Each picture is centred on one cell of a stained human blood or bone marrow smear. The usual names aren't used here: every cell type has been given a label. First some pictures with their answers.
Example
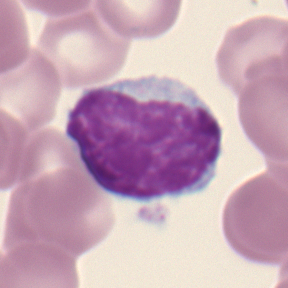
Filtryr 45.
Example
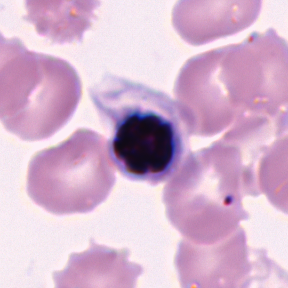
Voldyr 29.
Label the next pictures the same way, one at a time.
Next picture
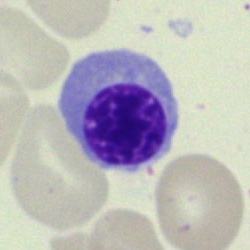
Voldyr 29.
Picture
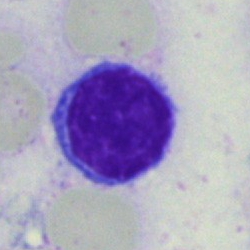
Filtryr 45.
